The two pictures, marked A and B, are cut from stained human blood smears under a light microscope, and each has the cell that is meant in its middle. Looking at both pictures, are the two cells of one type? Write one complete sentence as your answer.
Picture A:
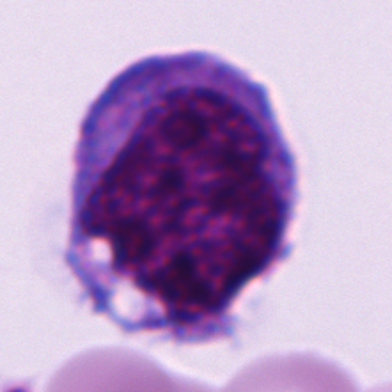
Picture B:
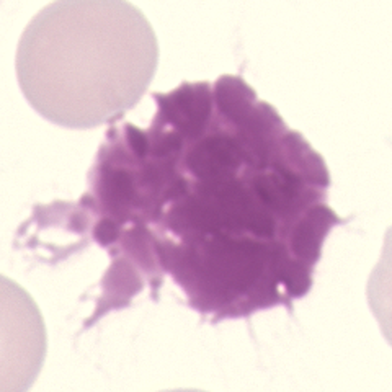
No, they differ: the cell is a monocyte in picture A and a smudge cell in picture B.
